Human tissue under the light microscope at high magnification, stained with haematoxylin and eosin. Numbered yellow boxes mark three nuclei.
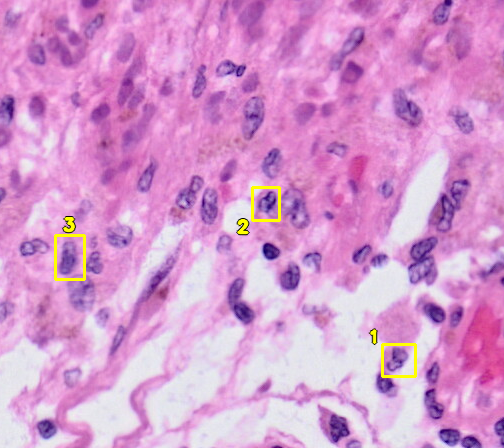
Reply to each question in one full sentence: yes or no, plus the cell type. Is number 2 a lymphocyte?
Yes, the marked cell number 2 is a lymphocyte.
